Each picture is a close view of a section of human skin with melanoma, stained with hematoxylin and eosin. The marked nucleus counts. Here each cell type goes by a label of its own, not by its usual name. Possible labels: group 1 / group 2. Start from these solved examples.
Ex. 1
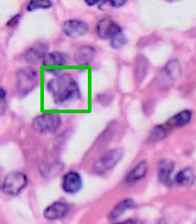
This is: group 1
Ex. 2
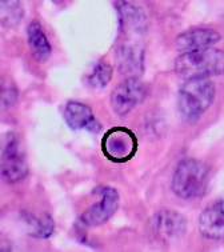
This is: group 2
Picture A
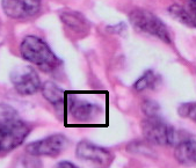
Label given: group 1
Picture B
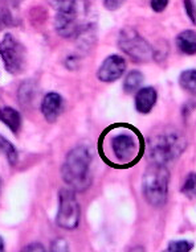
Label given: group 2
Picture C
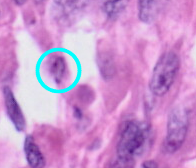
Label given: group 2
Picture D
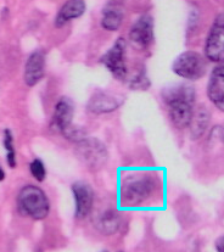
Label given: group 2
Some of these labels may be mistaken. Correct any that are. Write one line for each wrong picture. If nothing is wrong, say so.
C should be group 1, not group 2
D should be group 1, not group 2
